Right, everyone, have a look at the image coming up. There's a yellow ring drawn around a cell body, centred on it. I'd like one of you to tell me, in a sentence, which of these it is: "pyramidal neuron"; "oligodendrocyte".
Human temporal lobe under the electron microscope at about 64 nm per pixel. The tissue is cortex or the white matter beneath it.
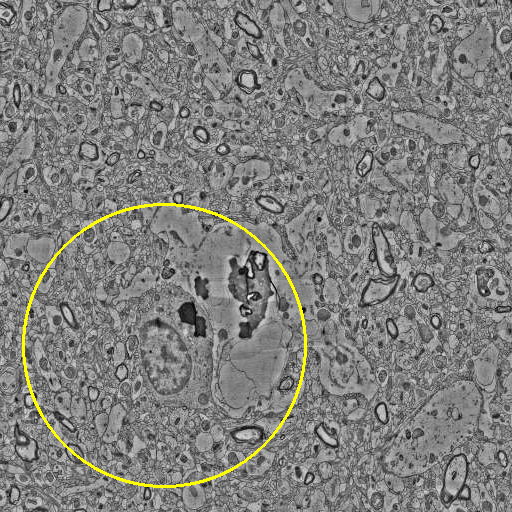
The yellow ring sits on an oligodendrocyte.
